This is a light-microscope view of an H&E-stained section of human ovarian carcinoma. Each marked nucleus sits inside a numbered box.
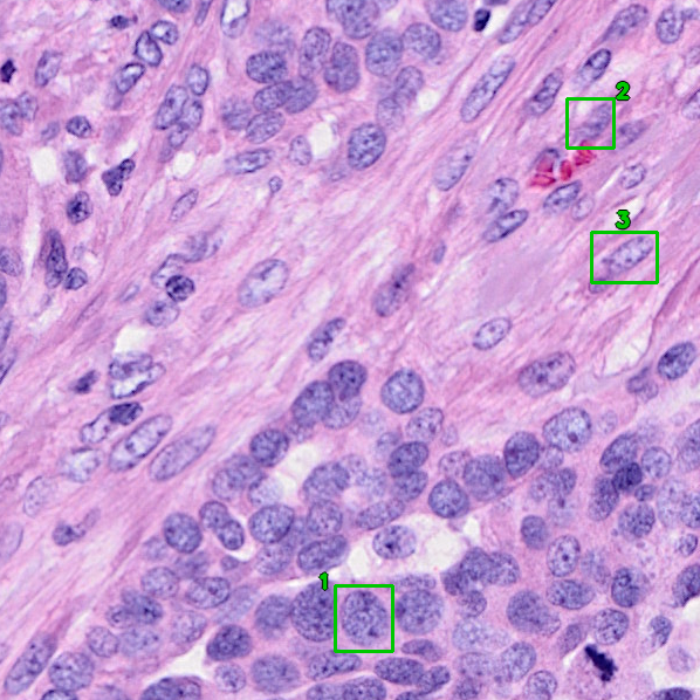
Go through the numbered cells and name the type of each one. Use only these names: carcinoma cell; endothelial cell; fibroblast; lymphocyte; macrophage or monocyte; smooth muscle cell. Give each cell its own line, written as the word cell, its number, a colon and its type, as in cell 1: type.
cell 1: carcinoma cell
cell 2: endothelial cell
cell 3: fibroblast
